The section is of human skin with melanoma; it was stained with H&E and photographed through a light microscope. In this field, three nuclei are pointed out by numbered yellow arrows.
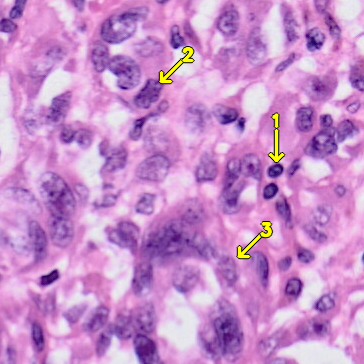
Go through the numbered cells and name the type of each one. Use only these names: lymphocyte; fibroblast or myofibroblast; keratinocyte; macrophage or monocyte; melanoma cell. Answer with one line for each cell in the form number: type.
1: lymphocyte
2: melanoma cell
3: melanoma cell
